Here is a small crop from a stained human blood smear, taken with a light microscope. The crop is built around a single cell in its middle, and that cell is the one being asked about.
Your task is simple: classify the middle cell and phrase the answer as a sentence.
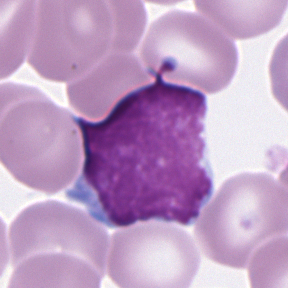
For this crop, the central cell is a lymphocyte.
